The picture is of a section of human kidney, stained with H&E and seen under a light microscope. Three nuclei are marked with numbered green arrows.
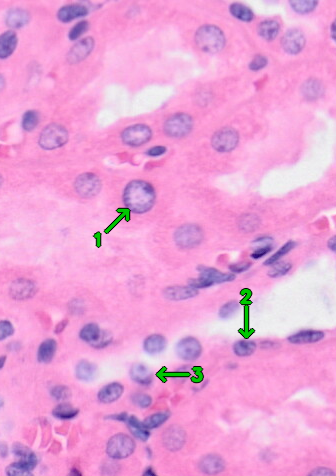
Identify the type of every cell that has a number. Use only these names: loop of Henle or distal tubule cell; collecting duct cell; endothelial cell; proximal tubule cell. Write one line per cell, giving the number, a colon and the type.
1: proximal tubule cell
2: loop of Henle or distal tubule cell
3: loop of Henle or distal tubule cell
